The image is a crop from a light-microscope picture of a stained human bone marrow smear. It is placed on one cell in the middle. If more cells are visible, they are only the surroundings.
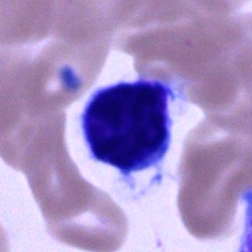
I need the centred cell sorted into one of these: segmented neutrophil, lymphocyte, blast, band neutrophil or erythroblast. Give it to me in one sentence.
The middle of this crop holds a lymphocyte.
